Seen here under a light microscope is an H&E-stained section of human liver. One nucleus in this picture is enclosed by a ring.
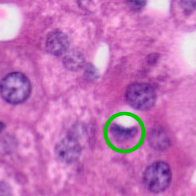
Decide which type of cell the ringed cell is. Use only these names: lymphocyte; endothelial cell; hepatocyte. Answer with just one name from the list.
endothelial cell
